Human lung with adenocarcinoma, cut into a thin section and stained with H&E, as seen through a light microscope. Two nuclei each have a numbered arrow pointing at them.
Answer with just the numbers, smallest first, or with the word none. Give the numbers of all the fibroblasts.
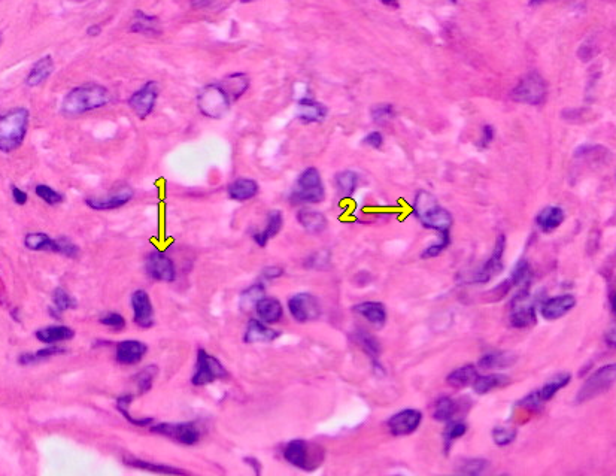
2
